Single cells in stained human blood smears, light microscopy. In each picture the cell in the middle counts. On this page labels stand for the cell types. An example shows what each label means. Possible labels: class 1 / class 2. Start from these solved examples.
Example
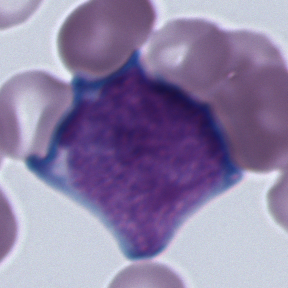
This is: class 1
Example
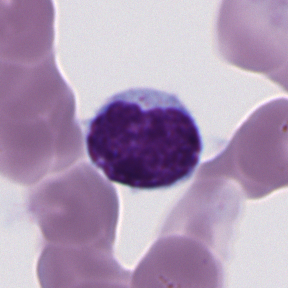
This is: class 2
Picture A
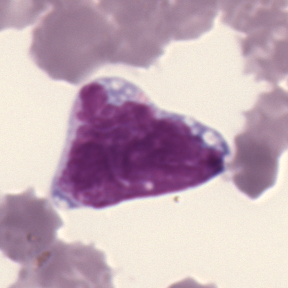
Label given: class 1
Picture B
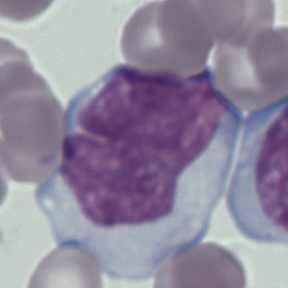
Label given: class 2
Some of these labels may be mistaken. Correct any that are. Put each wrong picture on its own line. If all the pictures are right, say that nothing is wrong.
B is labelled class 2; correct label: class 1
